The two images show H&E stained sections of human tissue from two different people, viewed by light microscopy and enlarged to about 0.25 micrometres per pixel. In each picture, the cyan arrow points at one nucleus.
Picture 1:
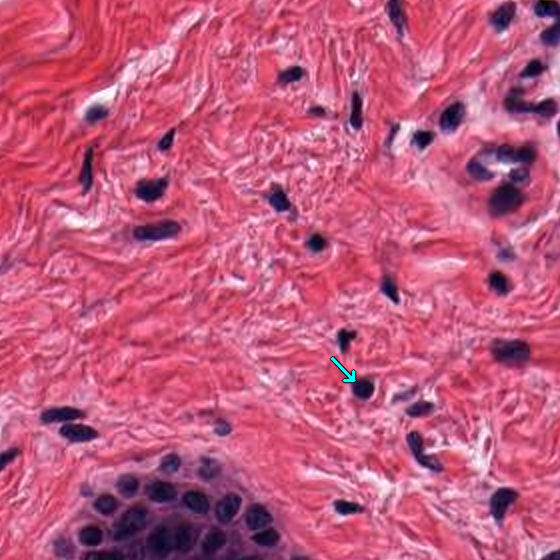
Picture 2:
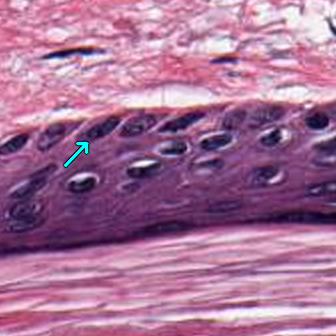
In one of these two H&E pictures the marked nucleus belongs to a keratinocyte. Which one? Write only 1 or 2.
2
